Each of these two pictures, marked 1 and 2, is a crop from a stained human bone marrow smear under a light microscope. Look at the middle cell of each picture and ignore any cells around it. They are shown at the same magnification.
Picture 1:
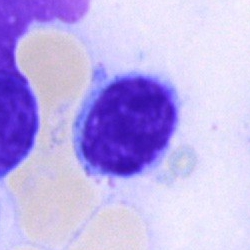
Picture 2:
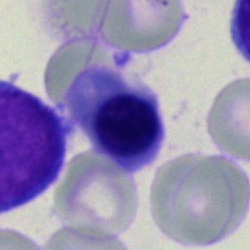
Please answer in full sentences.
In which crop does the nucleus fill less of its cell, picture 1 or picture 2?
It is the cell in picture 2 that is filled less by its nucleus.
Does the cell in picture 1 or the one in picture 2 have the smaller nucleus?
It is the nucleus in picture 2; the one in picture 1 has about 2.5 times its area.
